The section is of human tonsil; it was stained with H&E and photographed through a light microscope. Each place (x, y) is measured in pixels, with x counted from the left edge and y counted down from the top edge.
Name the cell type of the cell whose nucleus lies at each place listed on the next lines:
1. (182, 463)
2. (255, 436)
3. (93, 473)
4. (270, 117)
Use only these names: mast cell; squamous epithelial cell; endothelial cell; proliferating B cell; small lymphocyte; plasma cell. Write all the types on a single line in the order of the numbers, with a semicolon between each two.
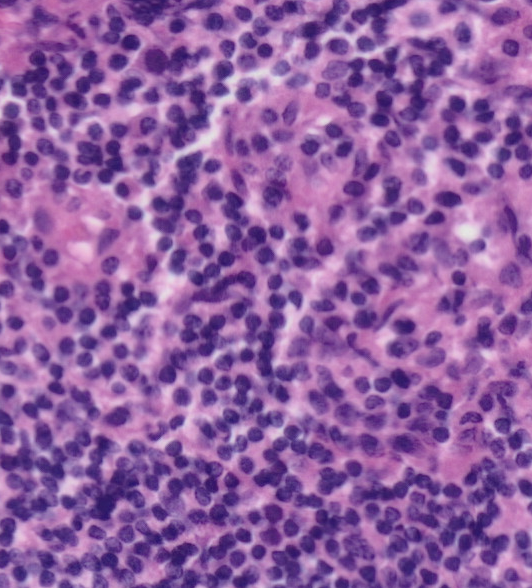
small lymphocyte; small lymphocyte; small lymphocyte; plasma cell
